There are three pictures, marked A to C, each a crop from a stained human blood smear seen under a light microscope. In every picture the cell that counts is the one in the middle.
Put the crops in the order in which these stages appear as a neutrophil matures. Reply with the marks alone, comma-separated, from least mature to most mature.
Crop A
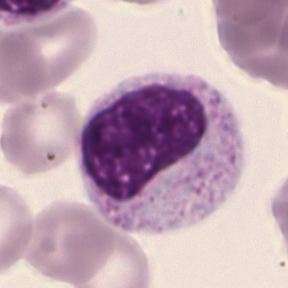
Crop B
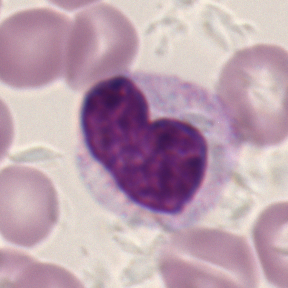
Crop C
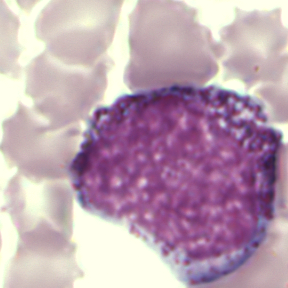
C, A, B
